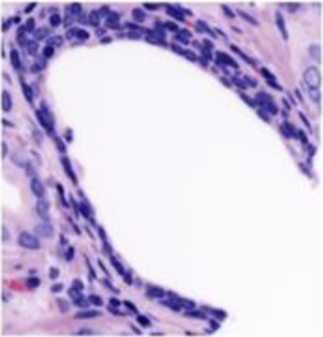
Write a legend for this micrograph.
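This is a gland with a wide, empty lumen, cut so that its wall runs as a curved band around the clear space. Along the upper part of the wall the lining is several cells thick, with crowded oval to elongated dark purple nuclei and scant pale cytoplasm. Toward the lower part the lining thins and its nuclei become flatter and stretched along the lumen. Outside the gland lies pink fibrous stroma with scattered spindle-shaped nuclei. A few small red blood cells lie in the stroma at the lower left.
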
